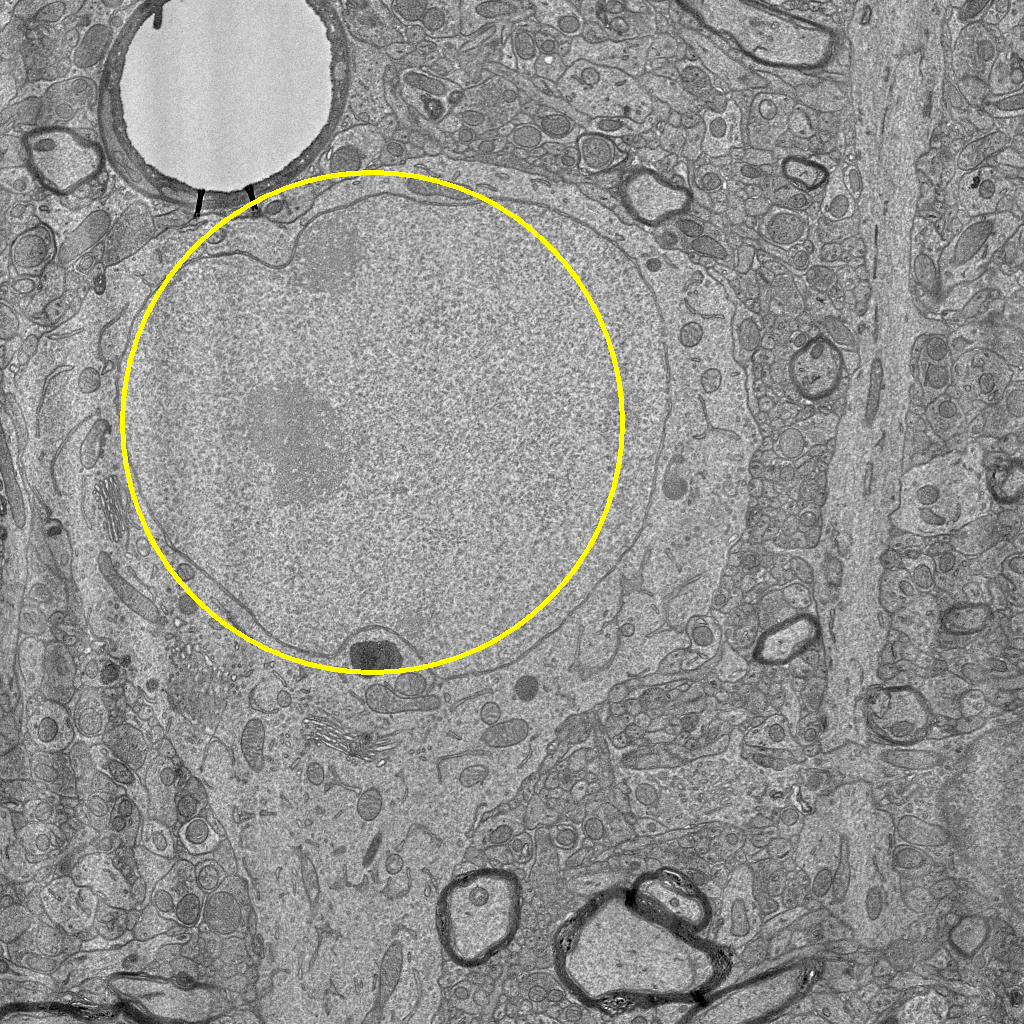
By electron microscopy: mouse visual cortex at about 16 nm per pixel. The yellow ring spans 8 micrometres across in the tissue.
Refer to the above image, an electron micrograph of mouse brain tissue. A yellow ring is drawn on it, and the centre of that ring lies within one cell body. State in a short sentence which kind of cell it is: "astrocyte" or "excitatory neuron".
The centre of the ring falls on an excitatory neuron.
